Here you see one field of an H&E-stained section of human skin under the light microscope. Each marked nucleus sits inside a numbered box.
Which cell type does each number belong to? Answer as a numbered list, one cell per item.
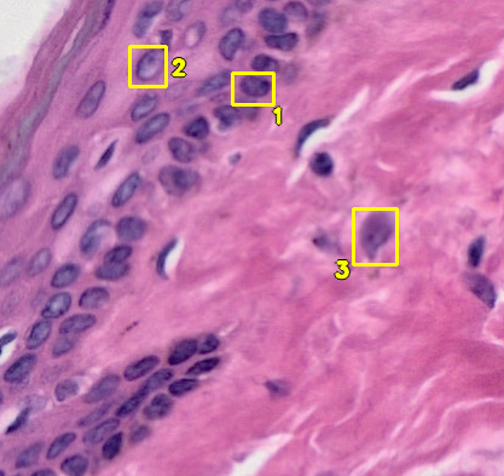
1. basal keratinocyte
2. suprabasal keratinocyte
3. fibroblast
